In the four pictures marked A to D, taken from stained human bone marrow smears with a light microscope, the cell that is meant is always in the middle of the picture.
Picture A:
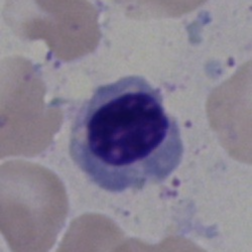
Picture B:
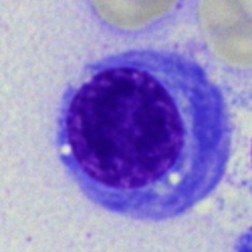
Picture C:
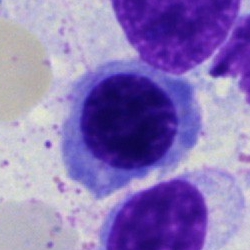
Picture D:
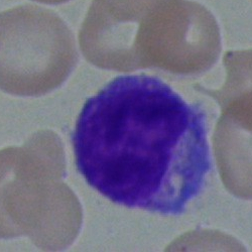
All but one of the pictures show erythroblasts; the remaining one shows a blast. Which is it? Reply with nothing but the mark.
D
